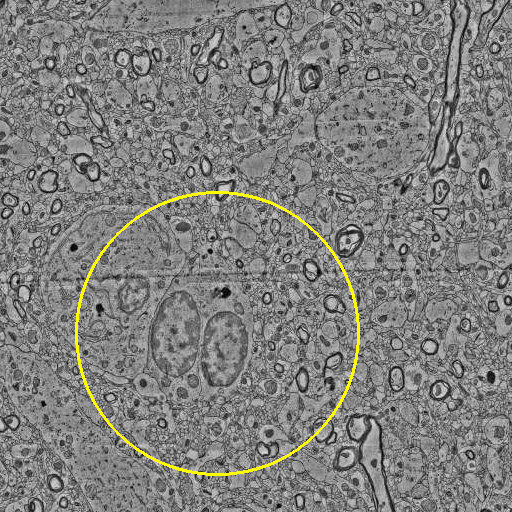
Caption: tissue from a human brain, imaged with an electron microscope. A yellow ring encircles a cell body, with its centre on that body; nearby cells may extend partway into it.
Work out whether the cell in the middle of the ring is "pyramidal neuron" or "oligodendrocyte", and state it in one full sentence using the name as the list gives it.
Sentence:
In the picture, the cell that the yellow ring surrounds at its centre is an oligodendrocyte.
